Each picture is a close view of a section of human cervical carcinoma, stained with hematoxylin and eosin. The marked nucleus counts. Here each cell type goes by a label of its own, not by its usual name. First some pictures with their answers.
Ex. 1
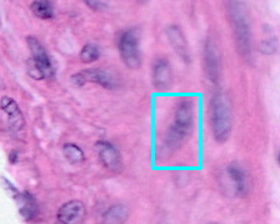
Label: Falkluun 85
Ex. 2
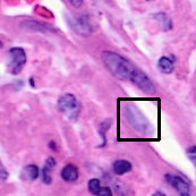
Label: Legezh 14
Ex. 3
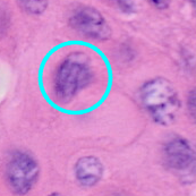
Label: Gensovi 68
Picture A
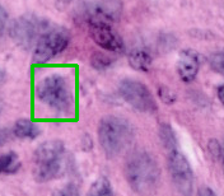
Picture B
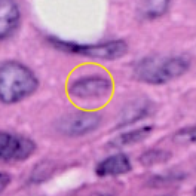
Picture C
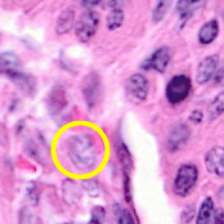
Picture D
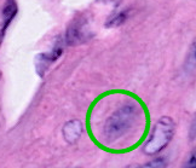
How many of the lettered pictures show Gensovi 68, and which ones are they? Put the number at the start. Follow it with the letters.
Count: 2 (A, B)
